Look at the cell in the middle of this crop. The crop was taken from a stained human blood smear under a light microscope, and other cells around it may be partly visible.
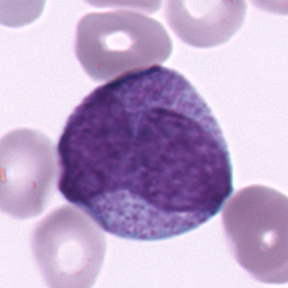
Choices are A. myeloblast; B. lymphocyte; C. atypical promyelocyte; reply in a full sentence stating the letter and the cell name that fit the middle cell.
Option C correctly states that the central cell is an atypical promyelocyte.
